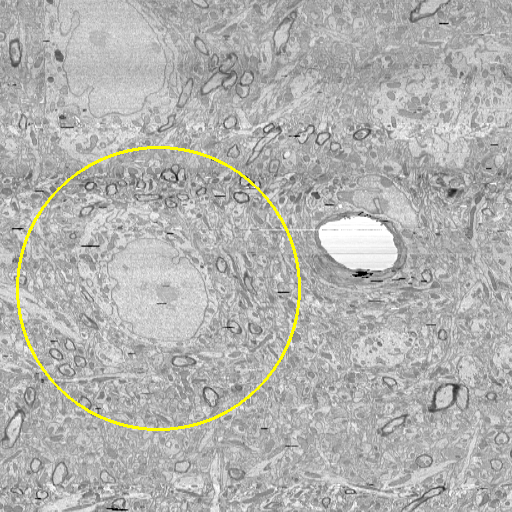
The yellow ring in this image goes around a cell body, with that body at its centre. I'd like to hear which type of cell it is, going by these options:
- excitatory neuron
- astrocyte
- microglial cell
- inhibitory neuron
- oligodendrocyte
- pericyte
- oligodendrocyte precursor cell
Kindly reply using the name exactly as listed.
inhibitory neuron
